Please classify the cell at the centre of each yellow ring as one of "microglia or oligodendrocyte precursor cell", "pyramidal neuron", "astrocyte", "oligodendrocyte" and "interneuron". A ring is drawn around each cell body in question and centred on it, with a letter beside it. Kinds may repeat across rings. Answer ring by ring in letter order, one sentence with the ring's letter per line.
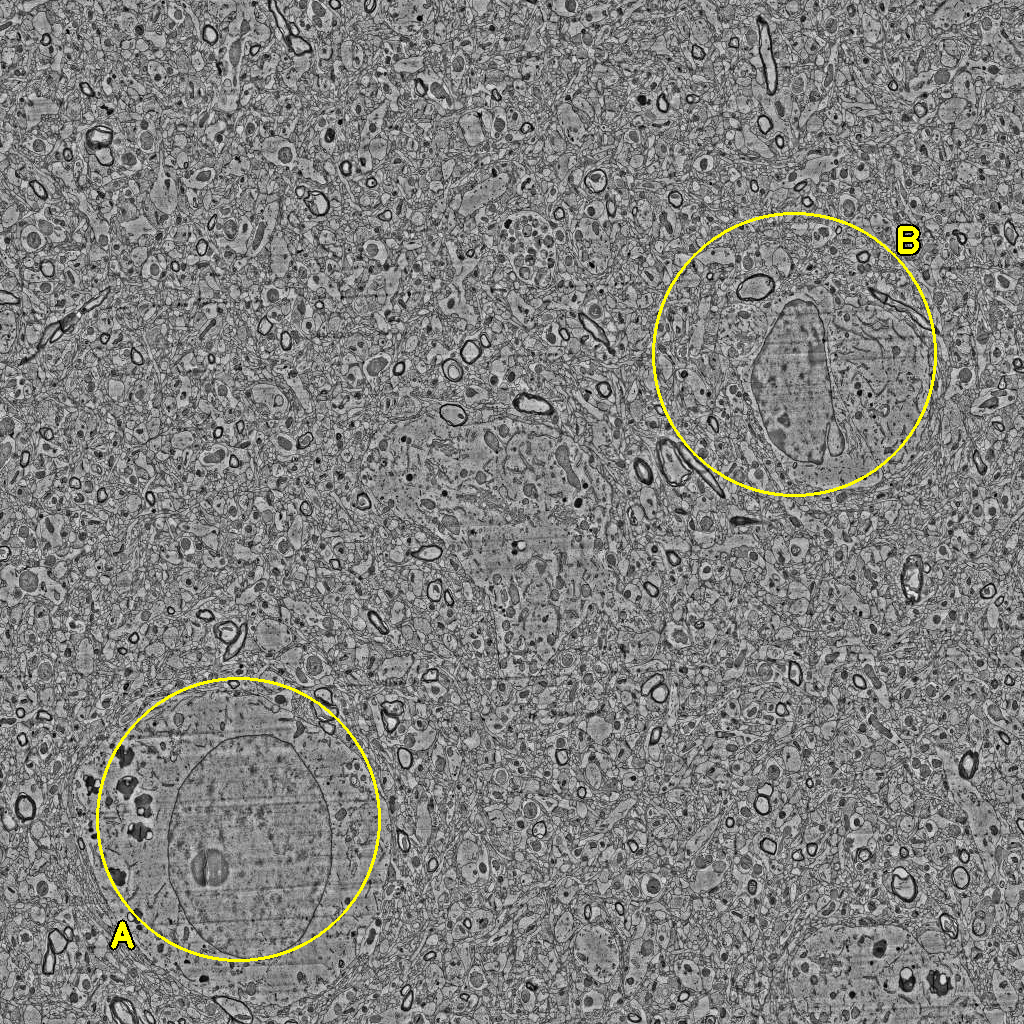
The cell at the heart of ring A is a pyramidal neuron.
The cell at the heart of ring B is a microglial cell or oligodendrocyte precursor cell.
